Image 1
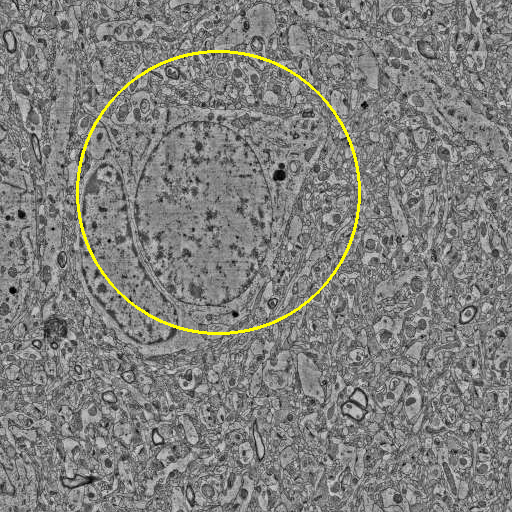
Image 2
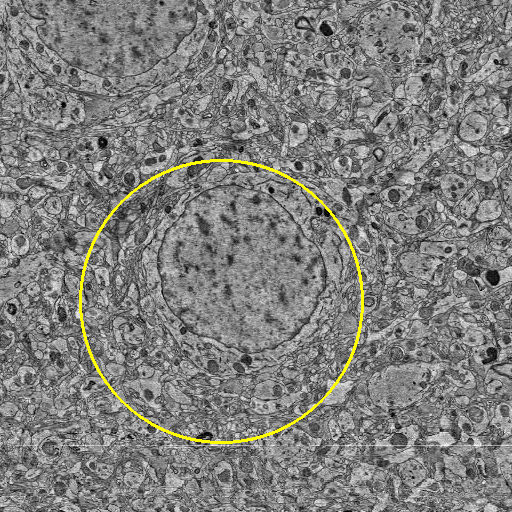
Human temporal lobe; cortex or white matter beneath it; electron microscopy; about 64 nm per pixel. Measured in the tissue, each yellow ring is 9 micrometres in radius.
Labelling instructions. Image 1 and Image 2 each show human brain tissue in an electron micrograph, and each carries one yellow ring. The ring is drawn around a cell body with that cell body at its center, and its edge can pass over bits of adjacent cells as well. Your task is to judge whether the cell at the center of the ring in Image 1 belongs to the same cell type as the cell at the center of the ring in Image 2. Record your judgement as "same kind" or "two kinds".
same kind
